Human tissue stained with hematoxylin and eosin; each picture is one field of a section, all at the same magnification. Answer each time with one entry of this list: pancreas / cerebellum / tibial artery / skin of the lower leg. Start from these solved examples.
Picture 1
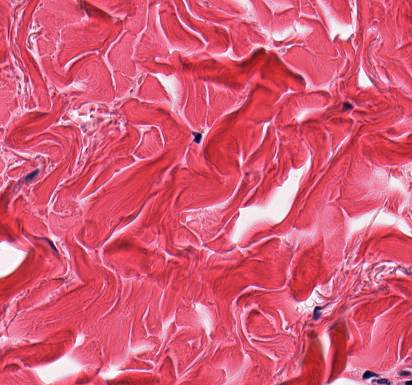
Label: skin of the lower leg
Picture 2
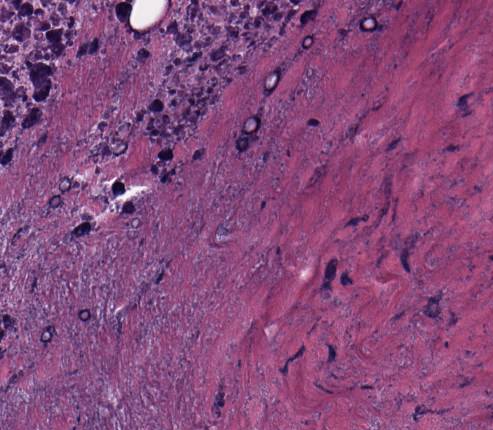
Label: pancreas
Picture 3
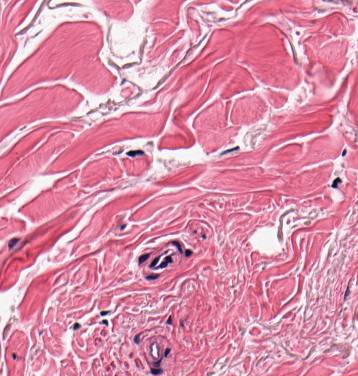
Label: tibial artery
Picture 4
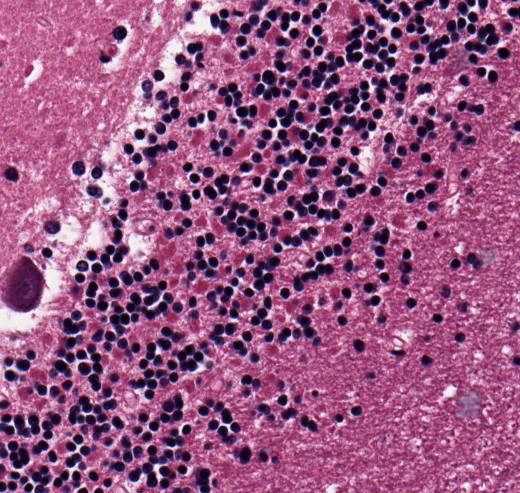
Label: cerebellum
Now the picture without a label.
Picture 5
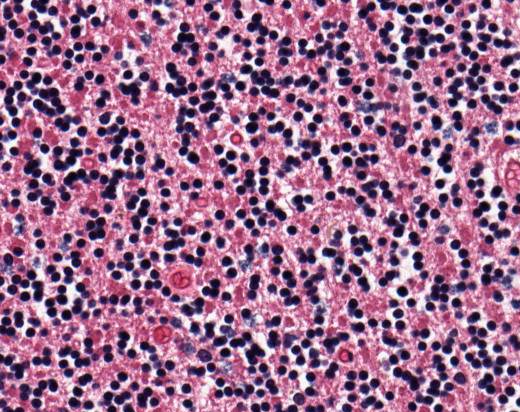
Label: cerebellum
